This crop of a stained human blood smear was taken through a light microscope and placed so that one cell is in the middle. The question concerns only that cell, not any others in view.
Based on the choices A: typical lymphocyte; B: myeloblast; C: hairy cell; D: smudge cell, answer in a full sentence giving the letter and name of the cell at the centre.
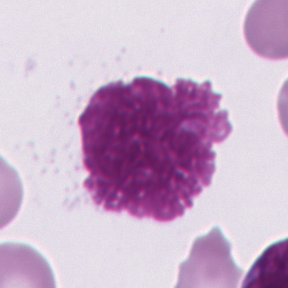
Option D stands as correct, the central cell being a smudge cell.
